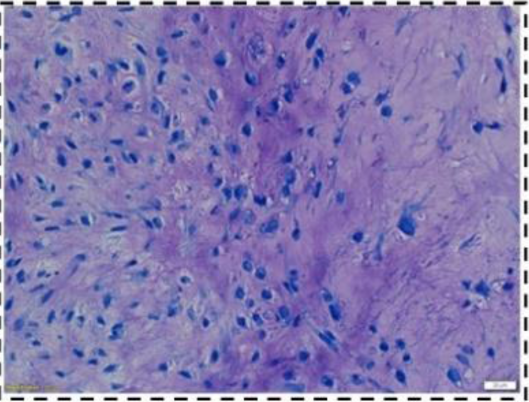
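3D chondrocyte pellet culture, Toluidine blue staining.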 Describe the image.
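The nuclei stain dark blue and range from rounded to elongated. Some cells sit within pale halos, and the matrix between them looks fibrous and stains unevenly, more deeply purple in some areas than in others.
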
